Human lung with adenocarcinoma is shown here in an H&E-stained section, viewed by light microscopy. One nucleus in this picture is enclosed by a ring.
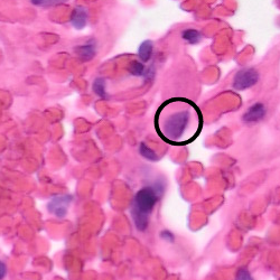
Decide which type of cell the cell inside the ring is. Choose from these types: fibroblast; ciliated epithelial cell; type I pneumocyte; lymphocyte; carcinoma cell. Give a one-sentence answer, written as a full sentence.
In this section, the cell inside the ring is a type I pneumocyte.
